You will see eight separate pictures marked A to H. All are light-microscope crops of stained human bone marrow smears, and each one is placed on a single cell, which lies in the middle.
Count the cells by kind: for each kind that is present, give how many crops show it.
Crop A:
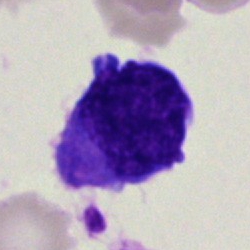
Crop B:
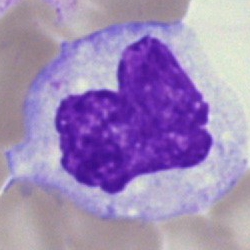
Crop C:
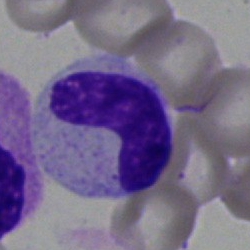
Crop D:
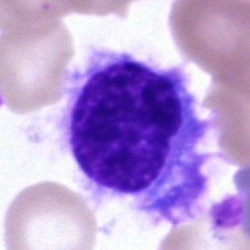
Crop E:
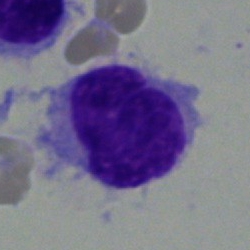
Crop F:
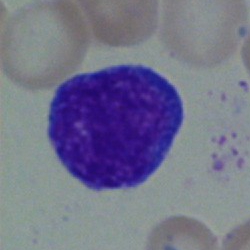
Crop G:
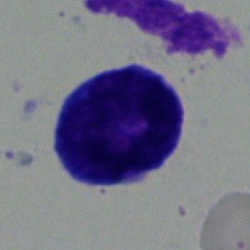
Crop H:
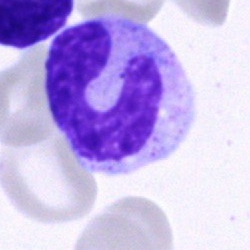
blast: 3
band neutrophil: 2
hairy cell: 2
monocyte: 1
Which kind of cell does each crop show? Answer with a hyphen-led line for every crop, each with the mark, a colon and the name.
- A: blast
- B: monocyte
- C: band neutrophil
- D: hairy cell
- E: hairy cell
- F: blast
- G: blast
- H: band neutrophil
